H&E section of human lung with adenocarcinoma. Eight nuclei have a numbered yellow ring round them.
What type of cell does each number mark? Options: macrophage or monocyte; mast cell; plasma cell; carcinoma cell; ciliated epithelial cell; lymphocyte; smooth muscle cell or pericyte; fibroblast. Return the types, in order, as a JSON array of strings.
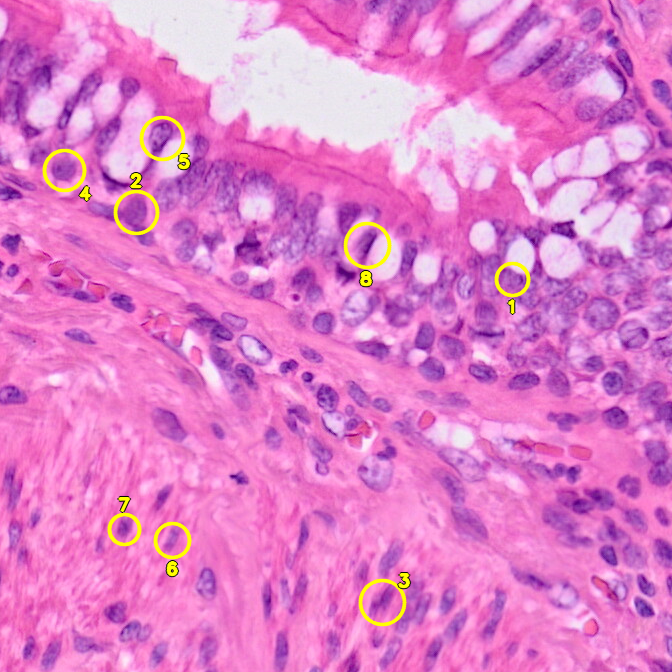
["ciliated epithelial cell", "ciliated epithelial cell", "smooth muscle cell or pericyte", "ciliated epithelial cell", "ciliated epithelial cell", "smooth muscle cell or pericyte", "smooth muscle cell or pericyte", "ciliated epithelial cell"]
